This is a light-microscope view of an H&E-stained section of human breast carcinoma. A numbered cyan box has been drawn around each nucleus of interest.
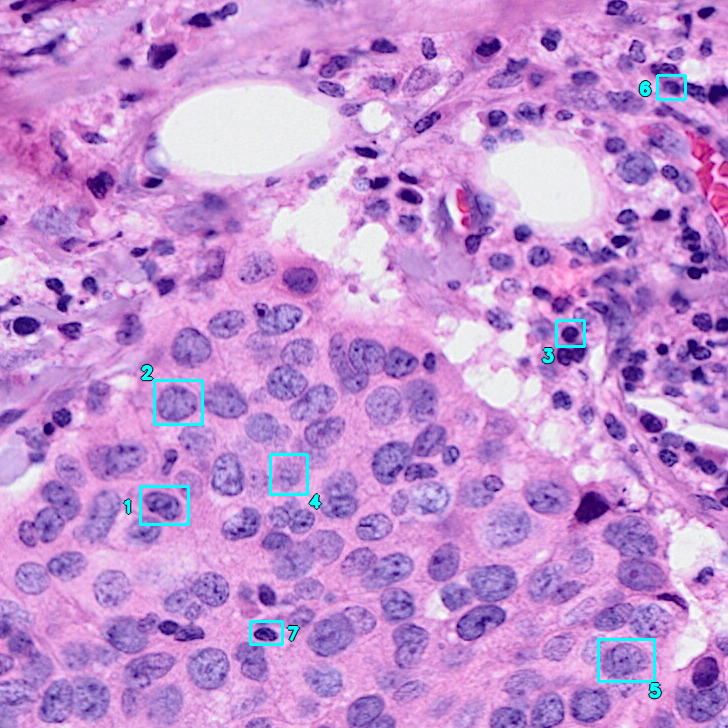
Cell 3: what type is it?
lymphocyte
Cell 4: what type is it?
carcinoma cell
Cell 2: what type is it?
carcinoma cell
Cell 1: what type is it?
carcinoma cell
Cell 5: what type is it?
carcinoma cell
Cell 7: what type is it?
lymphocyte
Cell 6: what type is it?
lymphocyte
